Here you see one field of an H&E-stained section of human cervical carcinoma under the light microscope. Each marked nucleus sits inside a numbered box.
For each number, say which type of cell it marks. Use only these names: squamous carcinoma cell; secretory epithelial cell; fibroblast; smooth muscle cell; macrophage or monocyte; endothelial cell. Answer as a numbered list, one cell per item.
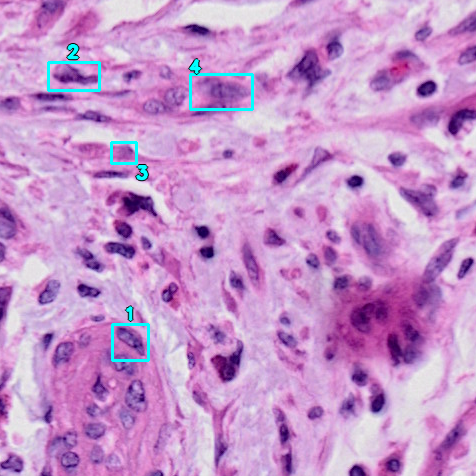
1. smooth muscle cell
2. fibroblast
3. fibroblast
4. endothelial cell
